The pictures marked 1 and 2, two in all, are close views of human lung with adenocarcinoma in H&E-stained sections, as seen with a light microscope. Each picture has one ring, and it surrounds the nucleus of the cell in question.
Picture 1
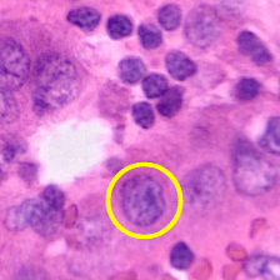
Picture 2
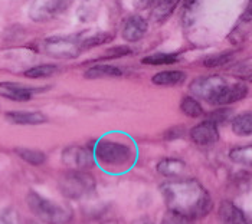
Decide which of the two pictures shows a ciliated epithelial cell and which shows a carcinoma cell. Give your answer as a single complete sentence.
The cell in picture 1 is a carcinoma cell, and the one in picture 2 is a ciliated epithelial cell.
